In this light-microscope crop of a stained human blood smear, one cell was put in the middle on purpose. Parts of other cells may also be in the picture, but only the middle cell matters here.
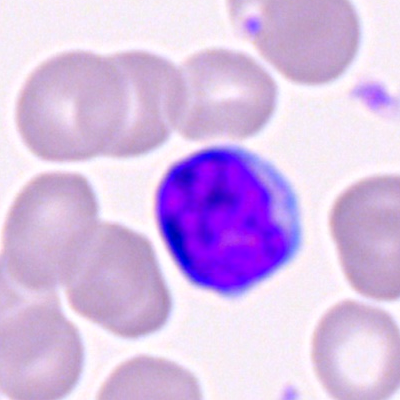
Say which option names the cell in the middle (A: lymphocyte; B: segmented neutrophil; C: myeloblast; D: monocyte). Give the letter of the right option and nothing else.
A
